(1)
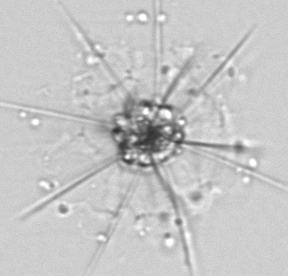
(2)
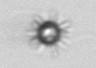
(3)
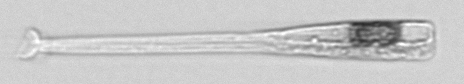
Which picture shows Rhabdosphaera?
Picture 2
